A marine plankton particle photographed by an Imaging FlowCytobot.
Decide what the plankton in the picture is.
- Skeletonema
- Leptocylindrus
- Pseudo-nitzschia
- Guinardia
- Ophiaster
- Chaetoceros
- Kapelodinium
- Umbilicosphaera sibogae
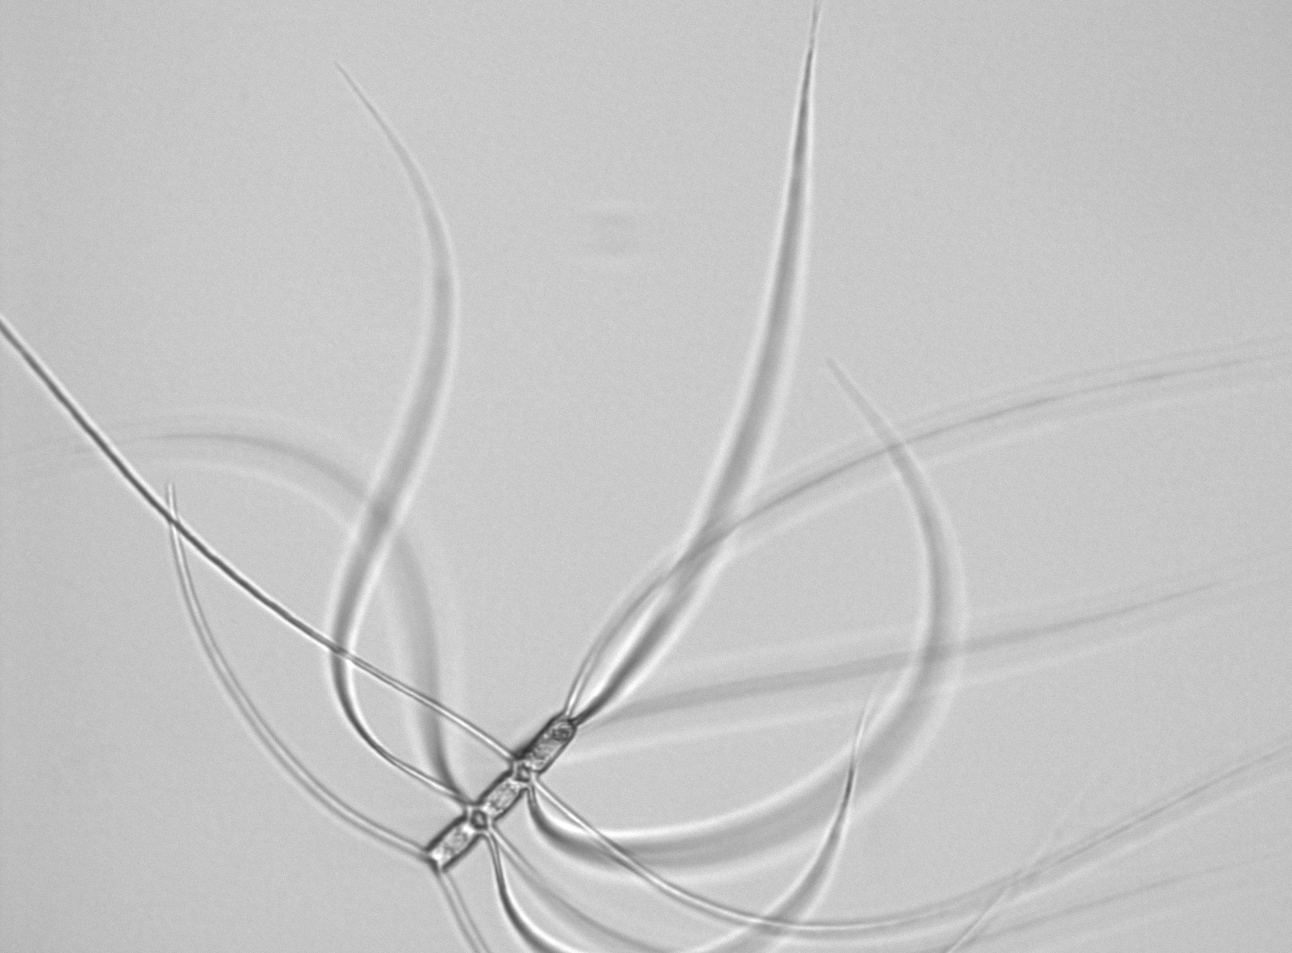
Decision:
Chaetoceros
